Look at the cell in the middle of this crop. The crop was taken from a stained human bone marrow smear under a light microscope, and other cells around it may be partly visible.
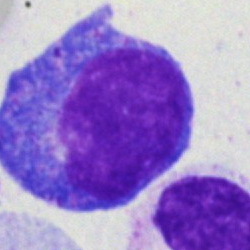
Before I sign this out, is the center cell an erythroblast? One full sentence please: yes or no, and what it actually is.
No, the one in the center is not an erythroblast; it is a blast.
